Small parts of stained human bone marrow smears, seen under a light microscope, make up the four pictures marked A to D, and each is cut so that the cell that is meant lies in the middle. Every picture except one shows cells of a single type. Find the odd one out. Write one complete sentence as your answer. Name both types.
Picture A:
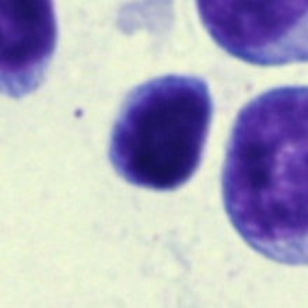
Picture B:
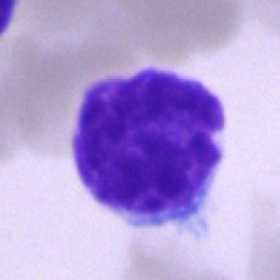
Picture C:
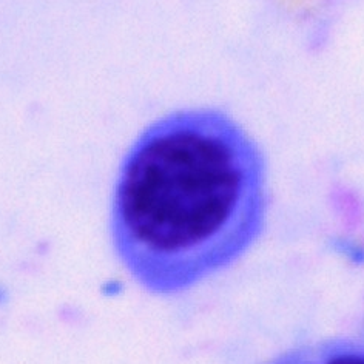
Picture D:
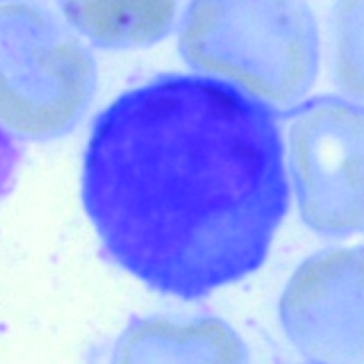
All pictures except C show lymphocytes; picture C shows an erythroblast.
